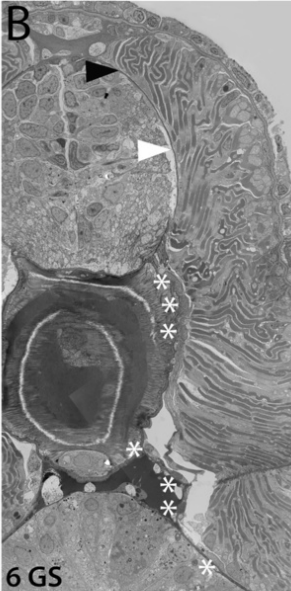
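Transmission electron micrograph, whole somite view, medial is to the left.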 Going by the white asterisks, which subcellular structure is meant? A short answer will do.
Sclerotome nuclei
